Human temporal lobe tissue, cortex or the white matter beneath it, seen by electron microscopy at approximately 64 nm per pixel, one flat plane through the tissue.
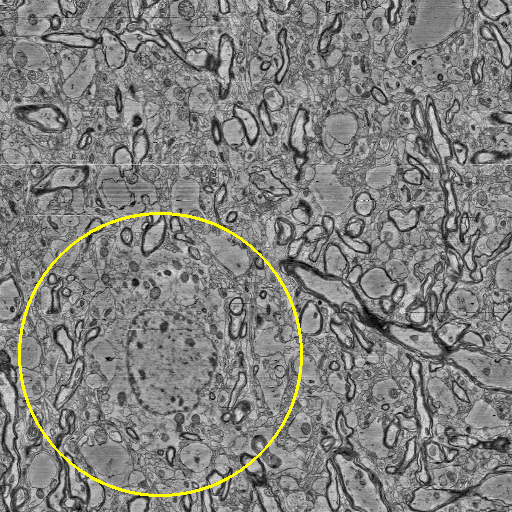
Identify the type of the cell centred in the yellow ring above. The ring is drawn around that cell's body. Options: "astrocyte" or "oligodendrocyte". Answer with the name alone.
astrocyte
